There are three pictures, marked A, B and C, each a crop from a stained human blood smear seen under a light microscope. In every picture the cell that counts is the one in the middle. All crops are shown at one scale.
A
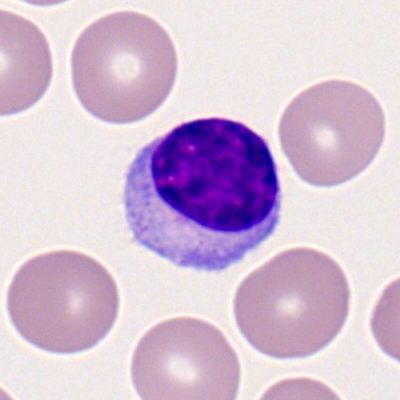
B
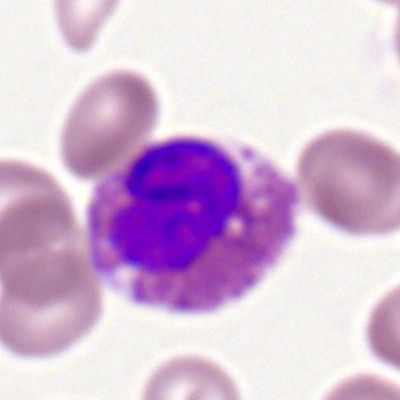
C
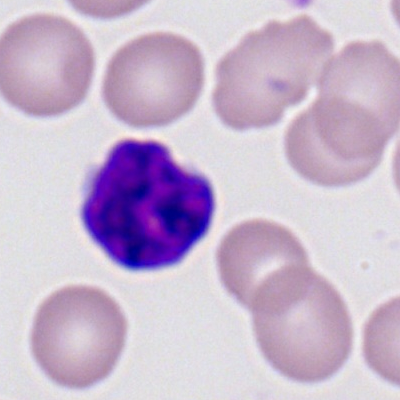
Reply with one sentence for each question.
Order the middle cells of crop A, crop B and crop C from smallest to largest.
Smallest first: C, A, B.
